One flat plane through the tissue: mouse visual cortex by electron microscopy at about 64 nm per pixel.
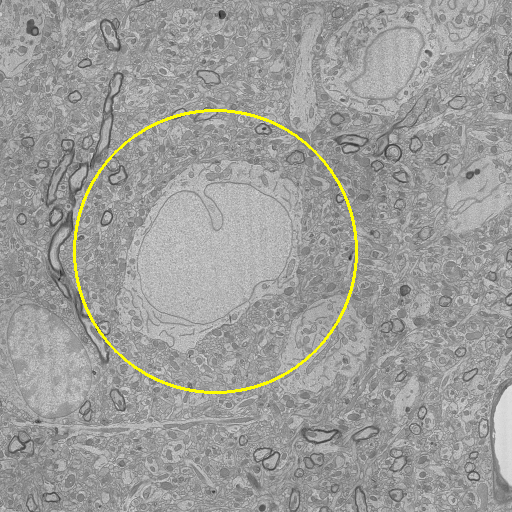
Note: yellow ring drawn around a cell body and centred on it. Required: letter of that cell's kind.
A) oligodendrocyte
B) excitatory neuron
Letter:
B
